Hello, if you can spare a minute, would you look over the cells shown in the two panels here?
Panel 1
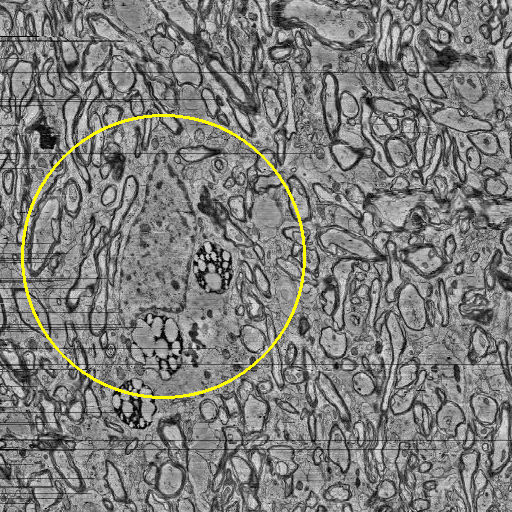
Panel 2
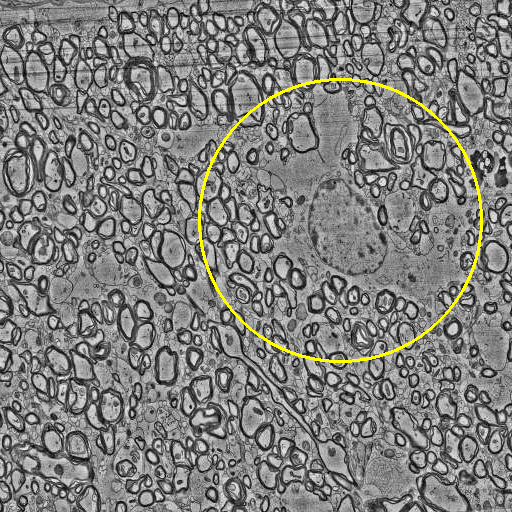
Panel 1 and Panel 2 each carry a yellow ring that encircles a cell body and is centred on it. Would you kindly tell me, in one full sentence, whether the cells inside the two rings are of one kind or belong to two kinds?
The cells at the centres of the rings in Panel 1 and Panel 2 are of one kind.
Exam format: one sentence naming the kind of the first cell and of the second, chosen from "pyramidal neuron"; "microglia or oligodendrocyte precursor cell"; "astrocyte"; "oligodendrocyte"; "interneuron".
Each of the two rings is centred on an astrocyte.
